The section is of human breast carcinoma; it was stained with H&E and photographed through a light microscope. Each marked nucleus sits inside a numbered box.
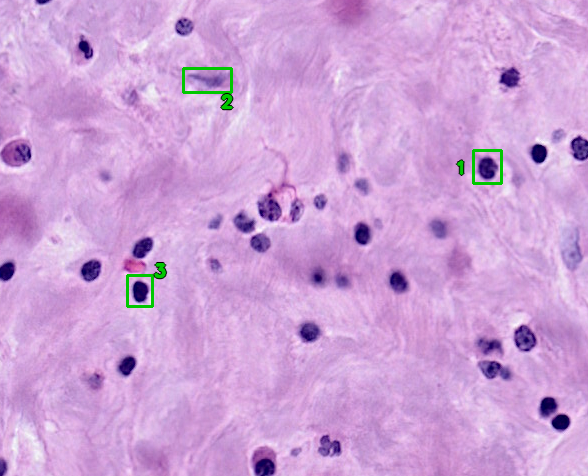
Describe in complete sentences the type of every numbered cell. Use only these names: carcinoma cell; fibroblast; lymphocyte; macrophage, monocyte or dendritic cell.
Cells 1 and 3 are lymphocytes. Cell 2 is a fibroblast.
